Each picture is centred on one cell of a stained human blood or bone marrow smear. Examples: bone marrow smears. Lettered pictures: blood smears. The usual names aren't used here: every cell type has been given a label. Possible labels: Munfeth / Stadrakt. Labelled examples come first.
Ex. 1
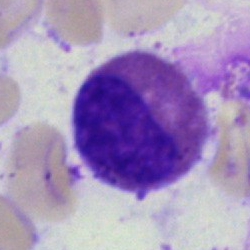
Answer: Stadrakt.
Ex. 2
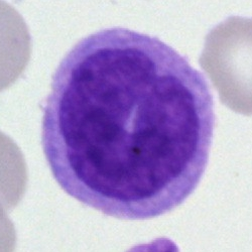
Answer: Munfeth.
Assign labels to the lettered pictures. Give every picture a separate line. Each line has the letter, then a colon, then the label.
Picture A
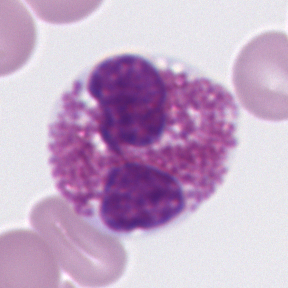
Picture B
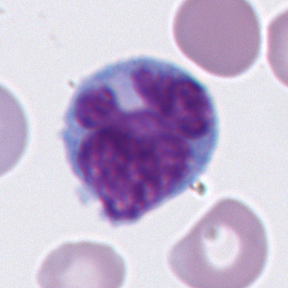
A: Stadrakt.
B: Munfeth.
